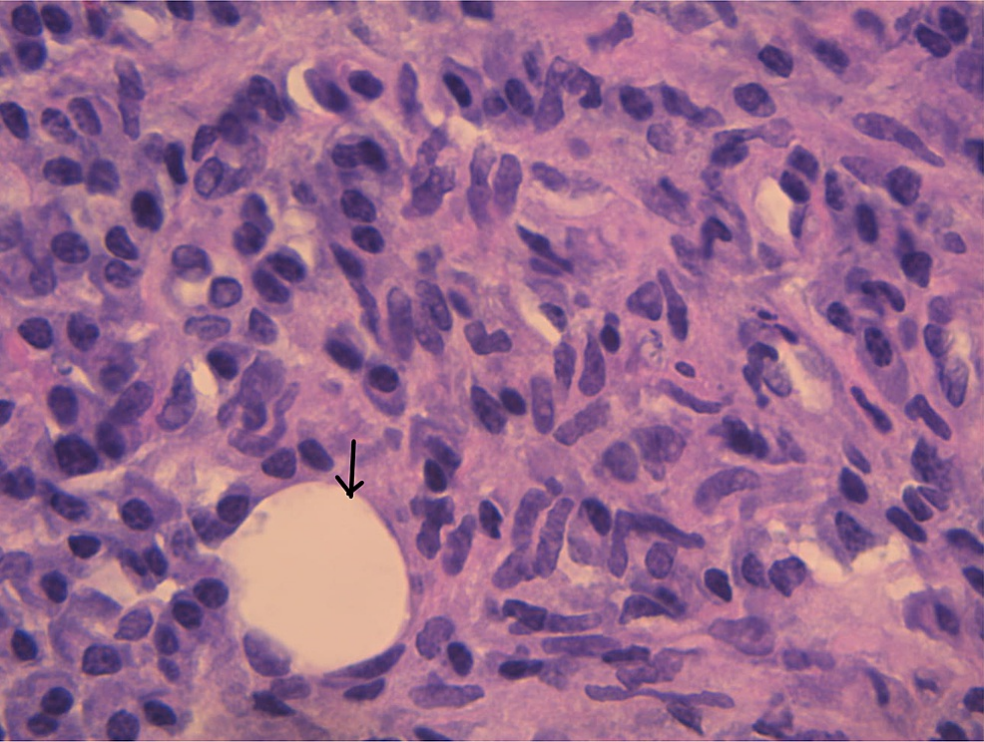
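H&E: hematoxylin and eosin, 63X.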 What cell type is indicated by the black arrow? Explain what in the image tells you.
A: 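Adipocyte. The arrow points to a large, round, empty-looking clear space. The clear space is several times wider than the surrounding nuclei. A thin rim of the space is hemmed in by densely packed cells.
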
